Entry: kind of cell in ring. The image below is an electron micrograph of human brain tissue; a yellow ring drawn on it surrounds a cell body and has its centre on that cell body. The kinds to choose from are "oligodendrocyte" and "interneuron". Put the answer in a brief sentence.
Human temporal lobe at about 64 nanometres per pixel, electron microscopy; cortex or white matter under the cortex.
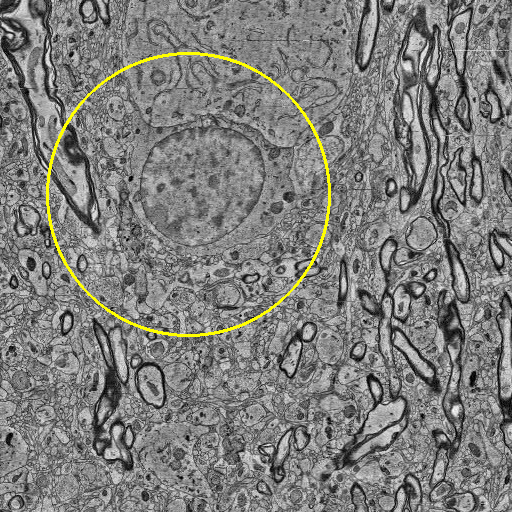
The ring has been drawn around an oligodendrocyte.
